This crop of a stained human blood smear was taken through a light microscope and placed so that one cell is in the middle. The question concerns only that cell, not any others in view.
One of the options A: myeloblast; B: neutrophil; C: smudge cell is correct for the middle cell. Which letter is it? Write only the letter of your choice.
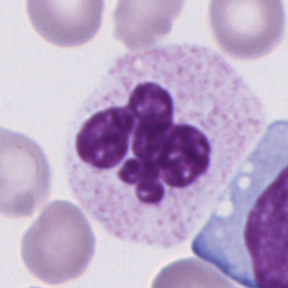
B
